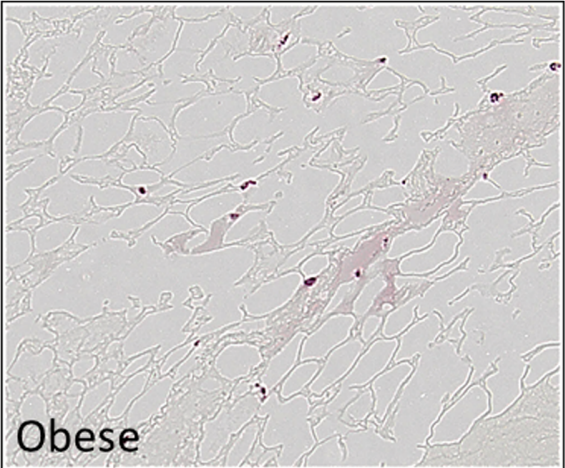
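This section of adipose tissue shows large, empty, polygonal fat cells separated by thin pale walls. Near the centre, a band of faintly pink-tinged stroma runs diagonally through the tissue, and several of the dark purple cells lie along or near it.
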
